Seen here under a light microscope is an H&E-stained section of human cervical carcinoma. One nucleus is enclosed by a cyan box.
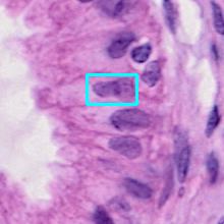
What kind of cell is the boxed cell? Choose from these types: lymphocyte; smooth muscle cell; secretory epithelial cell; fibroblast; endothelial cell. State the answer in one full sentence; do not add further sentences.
At the level of cell identity, the boxed cell is a secretory epithelial cell.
